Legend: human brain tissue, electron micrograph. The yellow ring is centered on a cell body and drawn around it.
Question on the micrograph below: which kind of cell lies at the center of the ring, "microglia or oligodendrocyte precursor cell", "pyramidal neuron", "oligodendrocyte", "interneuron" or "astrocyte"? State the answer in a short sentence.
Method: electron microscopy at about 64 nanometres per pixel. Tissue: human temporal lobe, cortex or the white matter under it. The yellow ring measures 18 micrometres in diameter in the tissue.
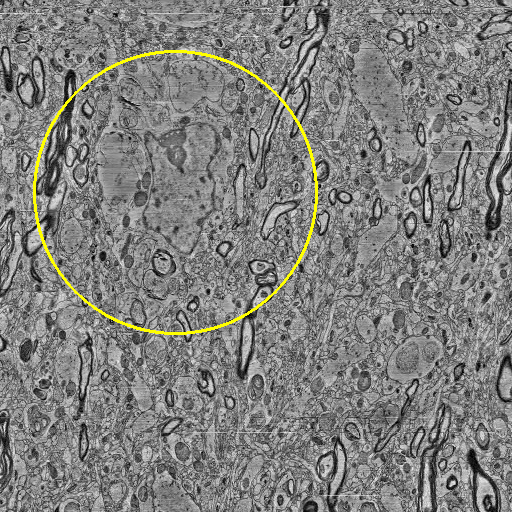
At the center of the ring lies an astrocyte.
